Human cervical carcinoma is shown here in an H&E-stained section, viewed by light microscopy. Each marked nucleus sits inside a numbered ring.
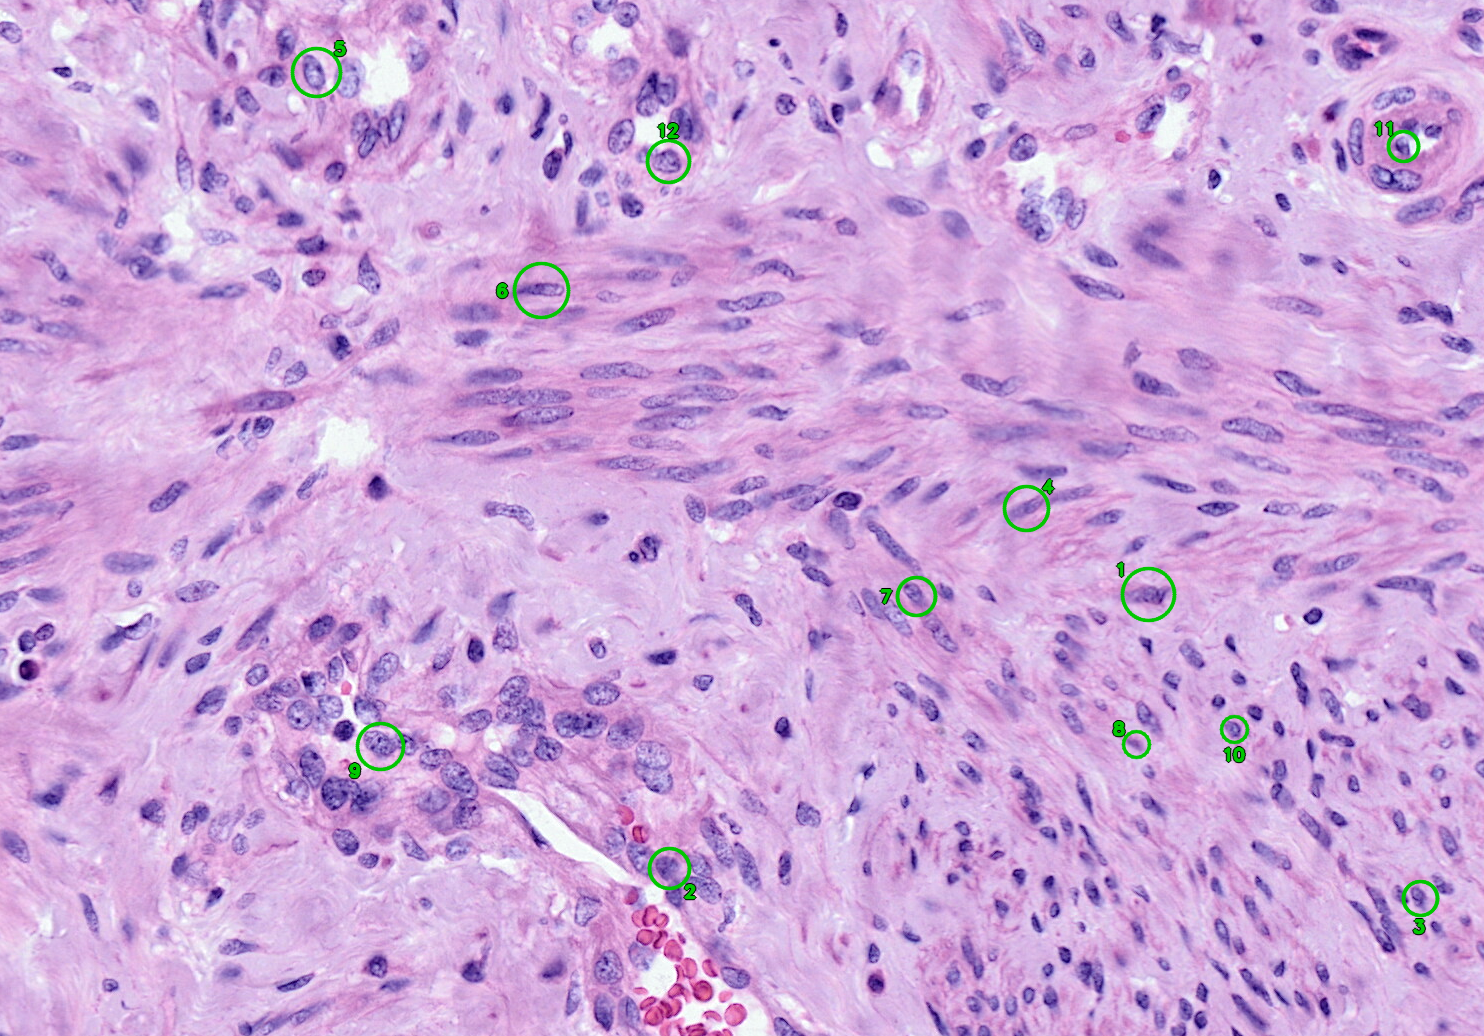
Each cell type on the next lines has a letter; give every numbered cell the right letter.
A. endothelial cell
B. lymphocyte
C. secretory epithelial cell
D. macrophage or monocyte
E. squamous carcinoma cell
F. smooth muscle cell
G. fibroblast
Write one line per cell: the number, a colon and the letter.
1: F
2: A
3: F
4: F
5: A
6: F
7: F
8: F
9: A
10: F
11: A
12: A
